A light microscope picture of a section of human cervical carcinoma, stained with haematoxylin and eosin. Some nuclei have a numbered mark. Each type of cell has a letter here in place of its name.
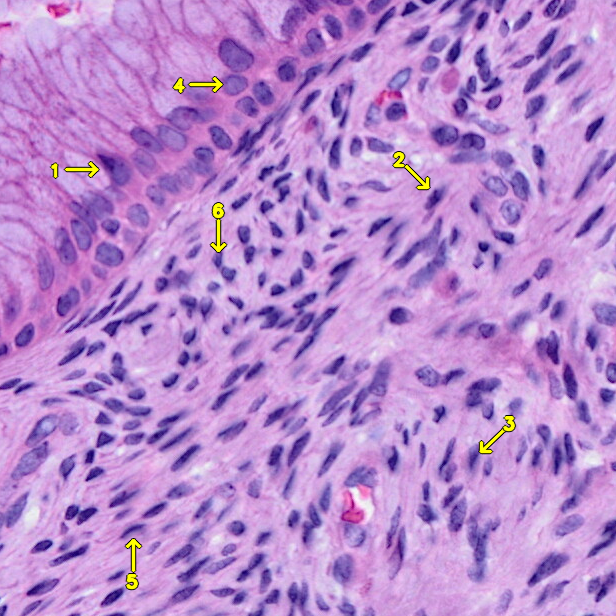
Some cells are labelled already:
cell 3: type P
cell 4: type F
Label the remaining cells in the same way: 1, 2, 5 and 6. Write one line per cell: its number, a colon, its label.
1: type F
2: type P
5: type P
6: type P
